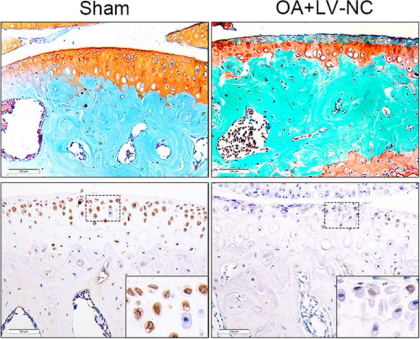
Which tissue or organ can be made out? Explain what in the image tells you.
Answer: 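A smooth surface layer stained red-orange in the top row. Rounded cells sit in small spaces within a homogeneous matrix. Green-blue stained bone with marrow spaces lies beneath the red-orange layer. On this evidence: cartilage.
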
